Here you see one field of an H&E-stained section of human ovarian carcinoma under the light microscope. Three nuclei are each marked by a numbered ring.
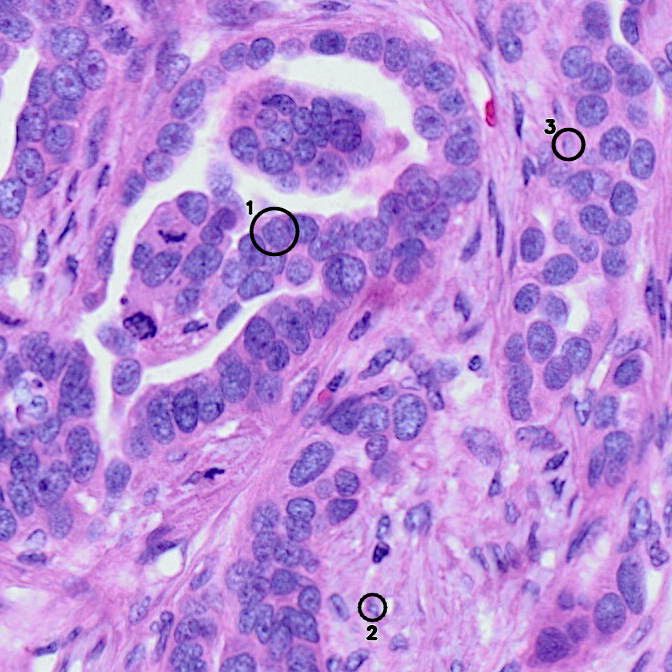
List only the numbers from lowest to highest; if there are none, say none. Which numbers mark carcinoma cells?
1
